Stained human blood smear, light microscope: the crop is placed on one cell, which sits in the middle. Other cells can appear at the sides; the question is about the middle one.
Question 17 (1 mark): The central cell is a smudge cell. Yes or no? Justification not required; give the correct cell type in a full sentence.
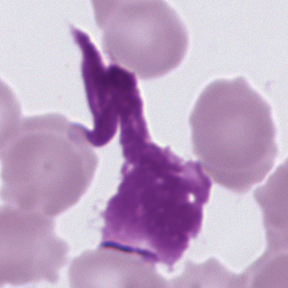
Yes, the cell sitting in the middle of this smear crop is a smudge cell.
